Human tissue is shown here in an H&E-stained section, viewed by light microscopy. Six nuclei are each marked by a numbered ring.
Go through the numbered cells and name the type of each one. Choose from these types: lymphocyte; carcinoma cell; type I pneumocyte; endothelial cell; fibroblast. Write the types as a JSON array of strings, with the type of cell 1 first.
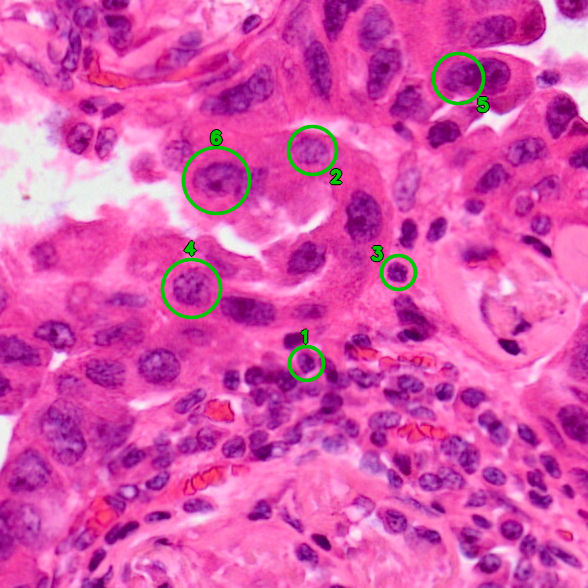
["lymphocyte", "carcinoma cell", "lymphocyte", "carcinoma cell", "carcinoma cell", "carcinoma cell"]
